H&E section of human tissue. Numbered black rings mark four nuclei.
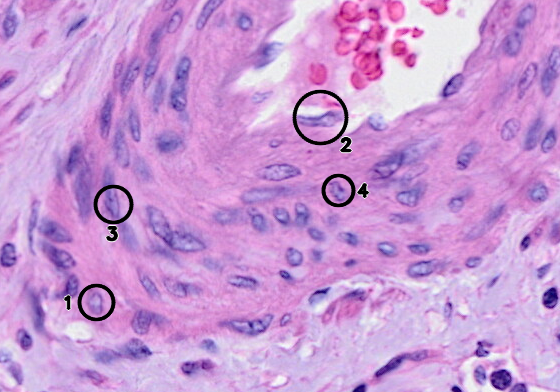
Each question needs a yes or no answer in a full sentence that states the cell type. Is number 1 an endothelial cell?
No, cell 1 isn't an endothelial cell; it's a smooth muscle cell.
